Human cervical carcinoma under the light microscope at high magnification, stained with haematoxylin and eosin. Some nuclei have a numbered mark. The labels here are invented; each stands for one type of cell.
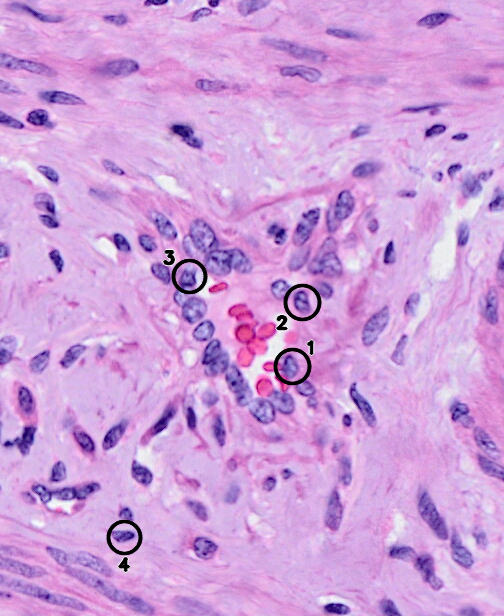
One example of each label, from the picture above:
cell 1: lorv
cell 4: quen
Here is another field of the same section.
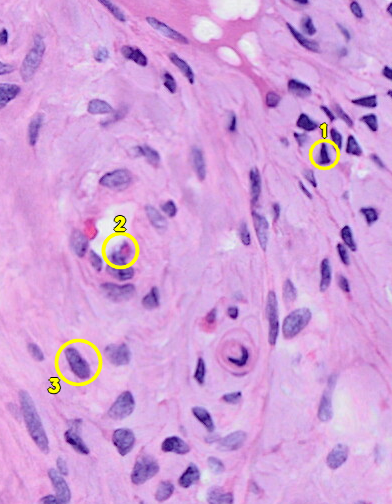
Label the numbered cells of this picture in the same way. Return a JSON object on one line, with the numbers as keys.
{"1": "quen", "2": "lorv", "3": "quen"}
